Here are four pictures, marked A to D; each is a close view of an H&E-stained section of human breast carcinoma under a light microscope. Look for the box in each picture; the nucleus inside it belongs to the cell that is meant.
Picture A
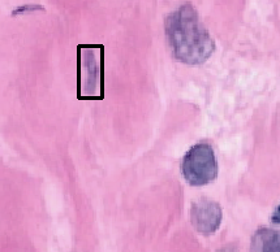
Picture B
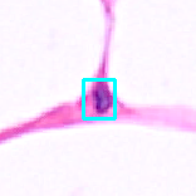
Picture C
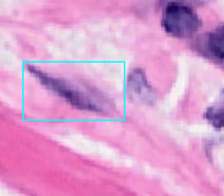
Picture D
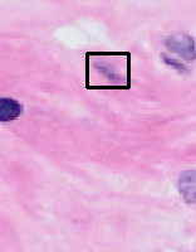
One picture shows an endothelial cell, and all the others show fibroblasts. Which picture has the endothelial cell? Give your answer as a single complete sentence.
Picture B shows the endothelial cell.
